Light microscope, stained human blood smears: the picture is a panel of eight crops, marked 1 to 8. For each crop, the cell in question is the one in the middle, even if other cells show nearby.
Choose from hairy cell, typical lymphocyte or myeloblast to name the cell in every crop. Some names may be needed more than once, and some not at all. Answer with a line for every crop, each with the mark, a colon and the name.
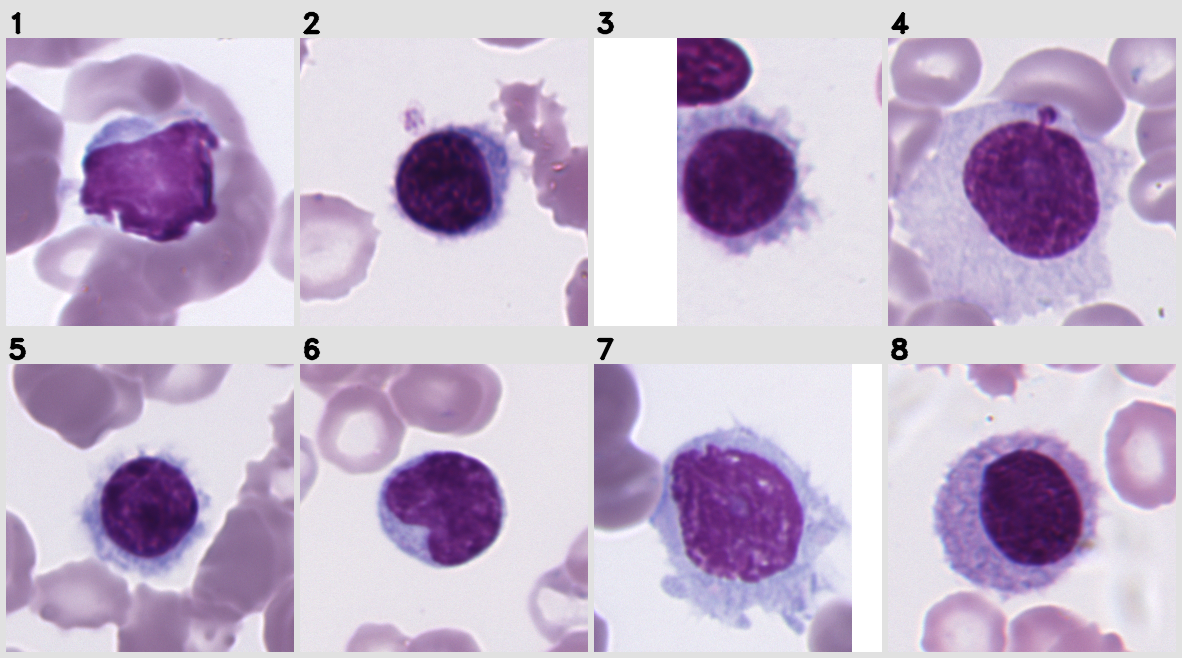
1: typical lymphocyte
2: hairy cell
3: hairy cell
4: hairy cell
5: hairy cell
6: typical lymphocyte
7: hairy cell
8: hairy cell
